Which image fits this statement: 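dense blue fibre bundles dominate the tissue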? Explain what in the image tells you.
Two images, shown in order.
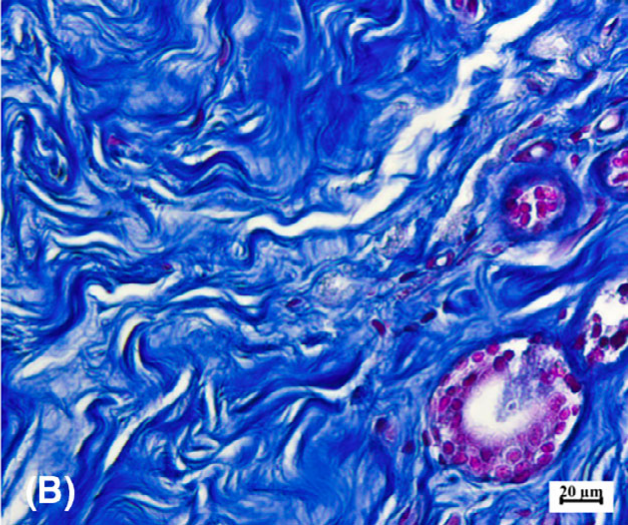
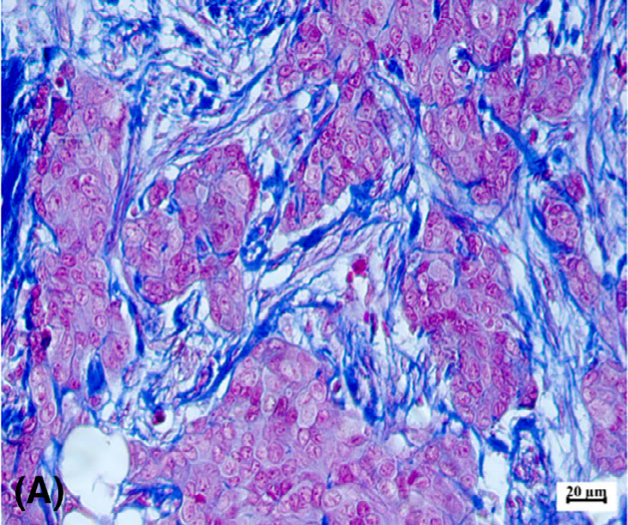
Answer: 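The first image. First image: thick wavy blue fibre bundles fill nearly the whole field, with only a few small magenta cell clusters.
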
